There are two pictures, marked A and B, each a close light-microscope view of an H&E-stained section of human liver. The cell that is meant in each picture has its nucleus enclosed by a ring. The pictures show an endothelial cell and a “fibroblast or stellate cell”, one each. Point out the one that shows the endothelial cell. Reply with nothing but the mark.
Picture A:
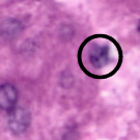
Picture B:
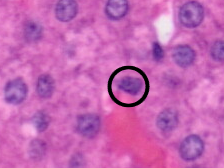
A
